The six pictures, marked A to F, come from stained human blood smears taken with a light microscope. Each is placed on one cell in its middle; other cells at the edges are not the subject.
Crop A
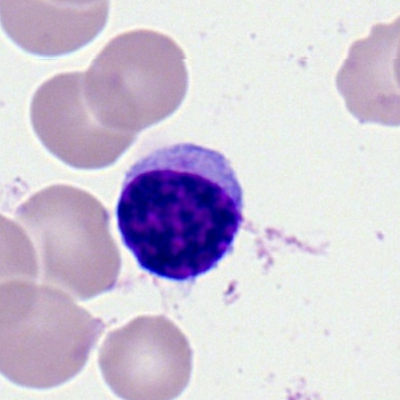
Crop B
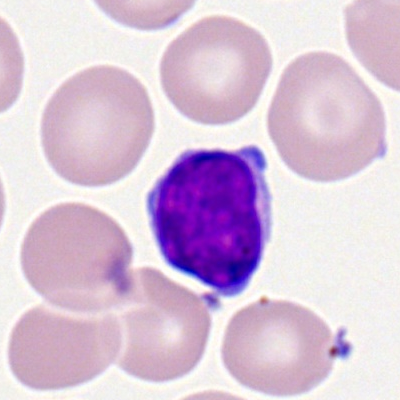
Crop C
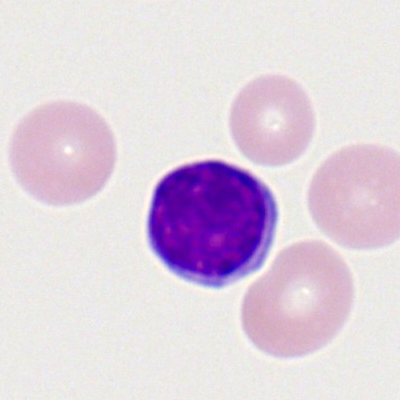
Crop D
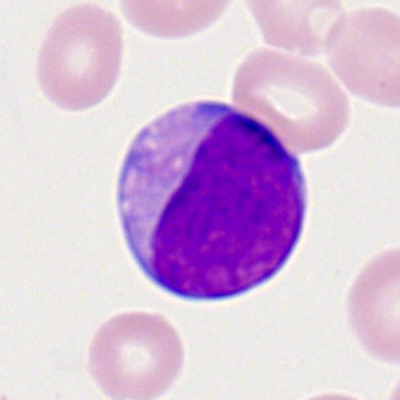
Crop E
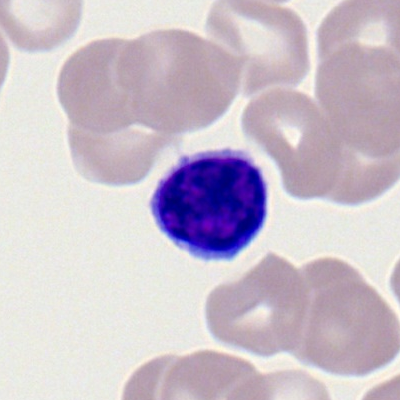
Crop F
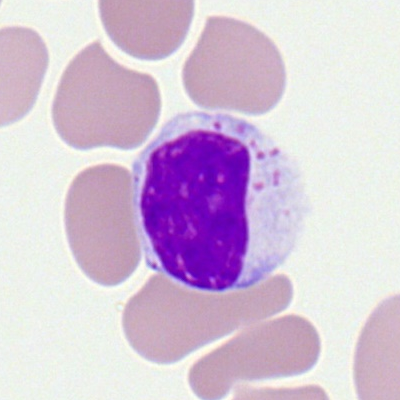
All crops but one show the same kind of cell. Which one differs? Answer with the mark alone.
D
